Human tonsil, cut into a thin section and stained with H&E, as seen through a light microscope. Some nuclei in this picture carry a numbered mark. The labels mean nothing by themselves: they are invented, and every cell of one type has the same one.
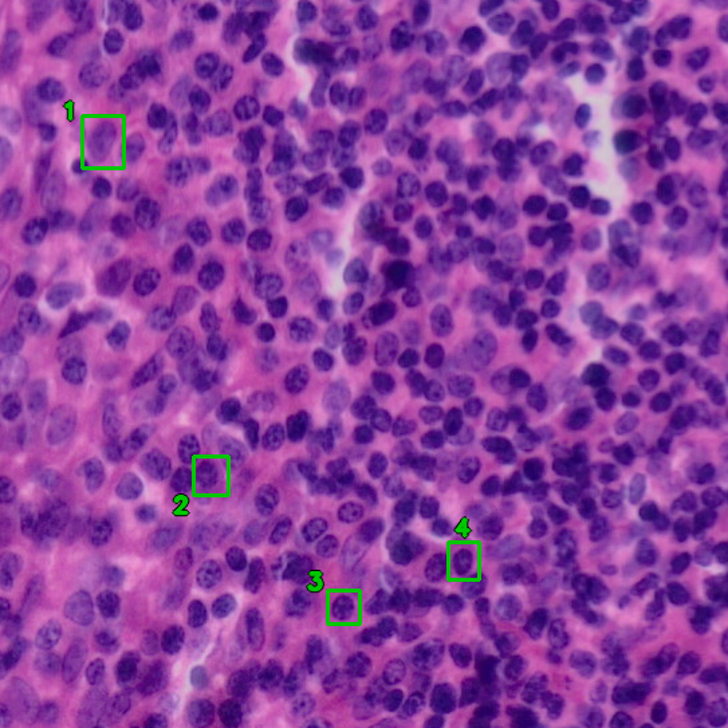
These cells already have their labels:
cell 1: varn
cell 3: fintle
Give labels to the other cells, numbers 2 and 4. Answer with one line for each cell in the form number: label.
2: fintle
4: fintle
